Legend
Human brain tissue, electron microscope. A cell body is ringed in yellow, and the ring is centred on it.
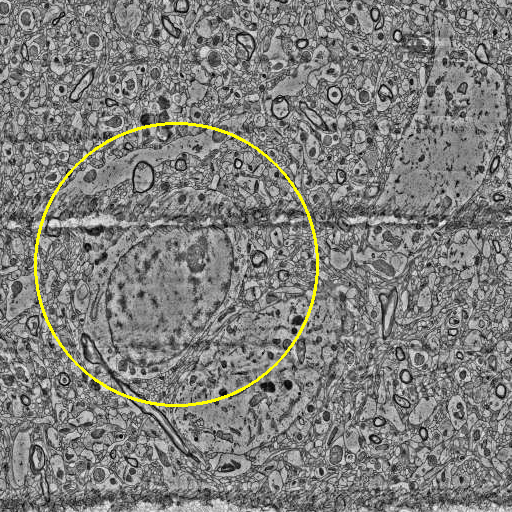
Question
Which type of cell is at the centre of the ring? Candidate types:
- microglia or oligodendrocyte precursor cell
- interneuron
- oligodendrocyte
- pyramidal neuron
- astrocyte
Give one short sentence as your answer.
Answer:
The yellow ring is centred here on an interneuron.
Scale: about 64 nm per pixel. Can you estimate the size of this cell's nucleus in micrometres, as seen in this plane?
About 10 by 7 micrometres in this plane.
